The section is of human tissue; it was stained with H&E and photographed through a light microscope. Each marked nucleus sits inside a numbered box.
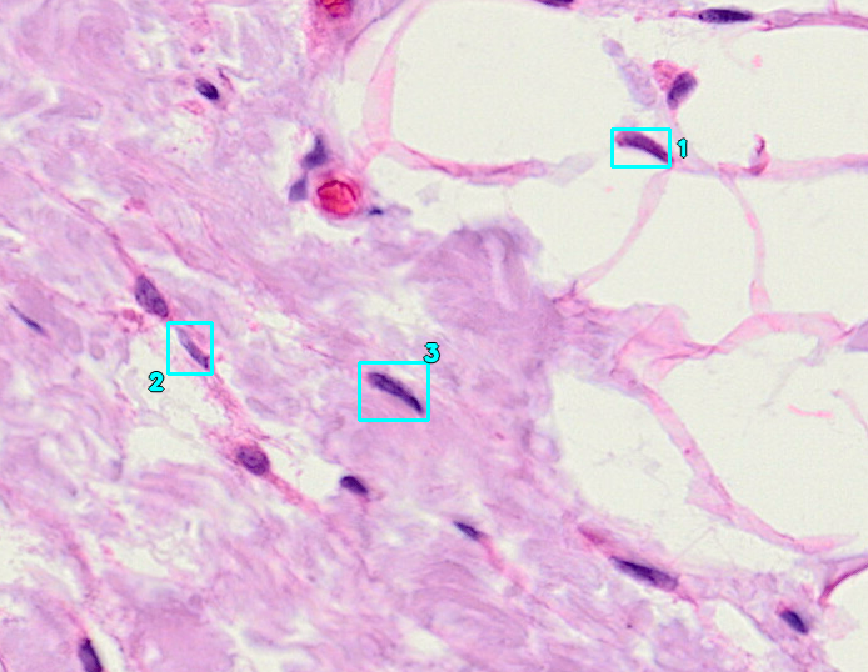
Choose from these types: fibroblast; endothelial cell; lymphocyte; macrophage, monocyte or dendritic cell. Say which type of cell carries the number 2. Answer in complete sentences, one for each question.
The cell to which the number 2 is assigned is a fibroblast.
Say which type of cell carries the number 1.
Regarding cell 1, this one is an endothelial cell.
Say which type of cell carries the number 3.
The nucleus with number 3 is that of a fibroblast.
